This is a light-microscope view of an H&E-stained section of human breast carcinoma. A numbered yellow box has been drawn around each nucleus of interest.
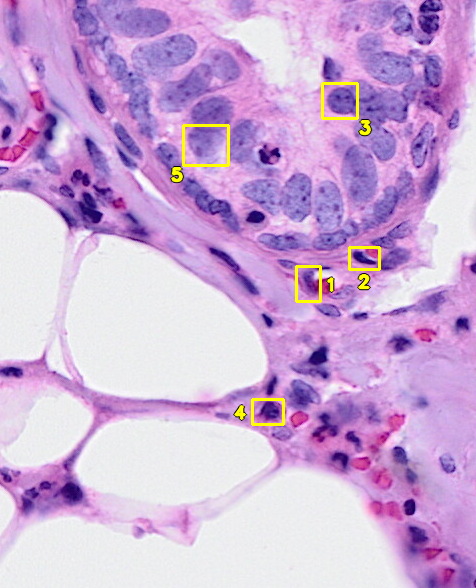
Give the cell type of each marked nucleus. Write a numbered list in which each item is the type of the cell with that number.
1. endothelial cell
2. endothelial cell
3. carcinoma cell
4. mast cell
5. carcinoma cell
